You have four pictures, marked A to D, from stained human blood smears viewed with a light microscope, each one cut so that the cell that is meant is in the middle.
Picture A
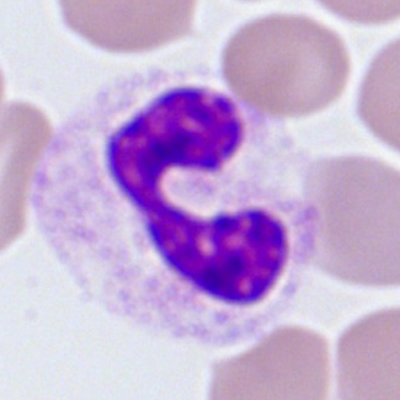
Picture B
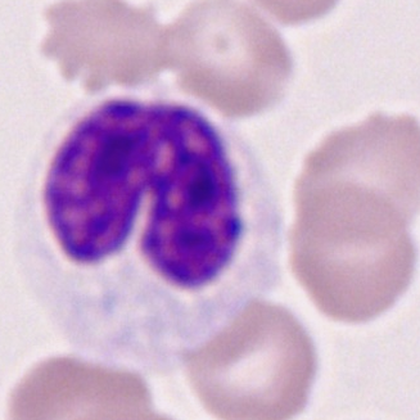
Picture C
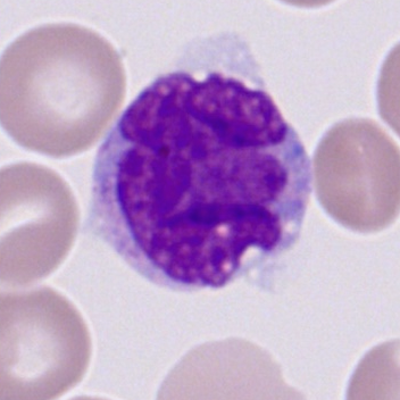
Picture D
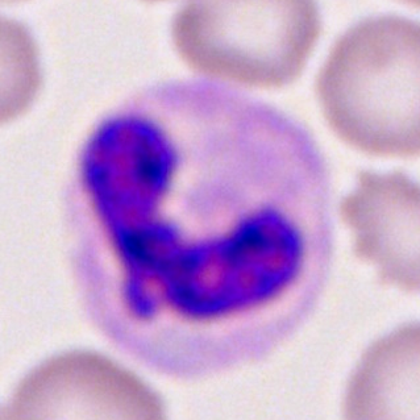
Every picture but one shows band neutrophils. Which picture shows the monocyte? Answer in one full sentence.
Picture C shows the monocyte.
